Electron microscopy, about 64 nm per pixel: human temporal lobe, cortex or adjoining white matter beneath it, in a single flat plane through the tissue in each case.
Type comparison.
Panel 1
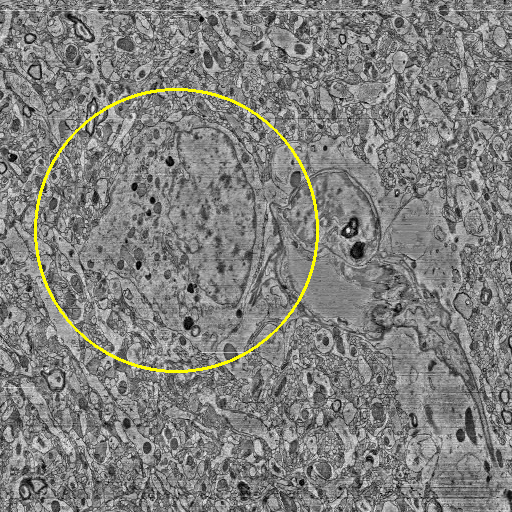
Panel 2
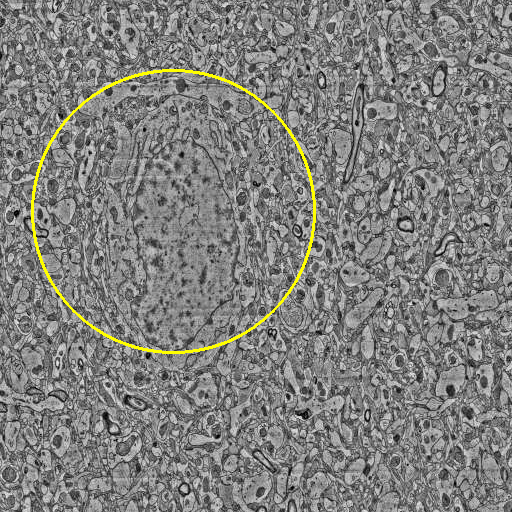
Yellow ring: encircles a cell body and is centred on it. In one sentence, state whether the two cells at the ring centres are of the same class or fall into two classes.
In these panels, the two cells at the ring centres are of the same class.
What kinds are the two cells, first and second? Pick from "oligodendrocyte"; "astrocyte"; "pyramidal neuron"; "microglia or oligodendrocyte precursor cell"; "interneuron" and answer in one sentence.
Each of the ringed cells, first and second, is an interneuron.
